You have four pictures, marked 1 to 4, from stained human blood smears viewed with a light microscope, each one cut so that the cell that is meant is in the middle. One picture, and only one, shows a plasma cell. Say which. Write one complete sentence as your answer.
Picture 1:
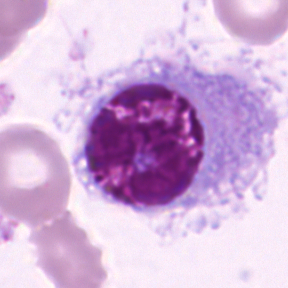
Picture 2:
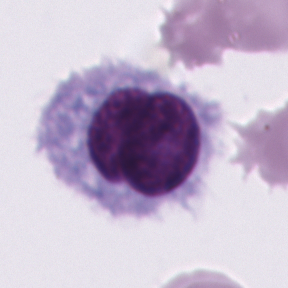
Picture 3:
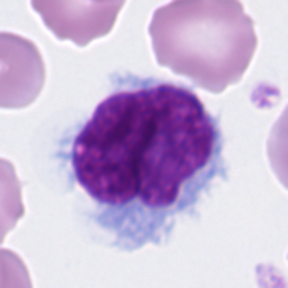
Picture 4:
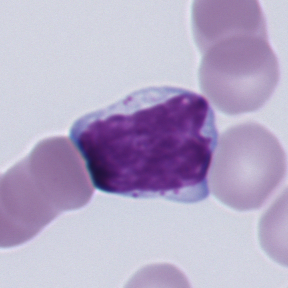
Picture 1 is the one that shows the plasma cell.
